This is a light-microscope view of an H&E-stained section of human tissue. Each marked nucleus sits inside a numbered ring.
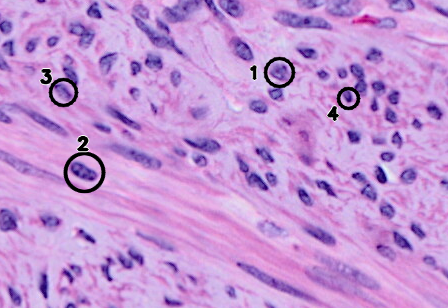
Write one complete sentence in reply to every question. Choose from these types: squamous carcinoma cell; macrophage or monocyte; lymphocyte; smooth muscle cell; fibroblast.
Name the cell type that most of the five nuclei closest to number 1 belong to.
Most of the five nuclei nearest to number 1 are those of fibroblasts.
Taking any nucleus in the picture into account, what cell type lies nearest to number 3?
It is a smooth muscle cell whose nucleus is nearest to number 3.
